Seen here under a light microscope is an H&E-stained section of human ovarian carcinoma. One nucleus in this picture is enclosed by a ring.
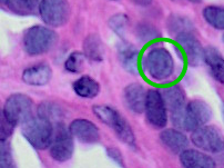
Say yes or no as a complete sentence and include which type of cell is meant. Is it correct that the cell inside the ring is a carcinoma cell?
Yes, a carcinoma cell is what the cell inside the ring represents in this tissue.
